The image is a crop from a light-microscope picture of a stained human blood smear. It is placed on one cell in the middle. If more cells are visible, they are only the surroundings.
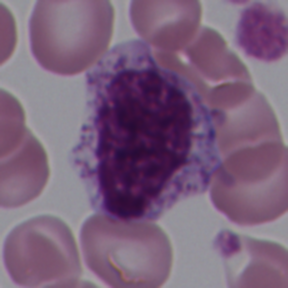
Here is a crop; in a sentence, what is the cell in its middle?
This particular crop is centered on a myelocyte.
